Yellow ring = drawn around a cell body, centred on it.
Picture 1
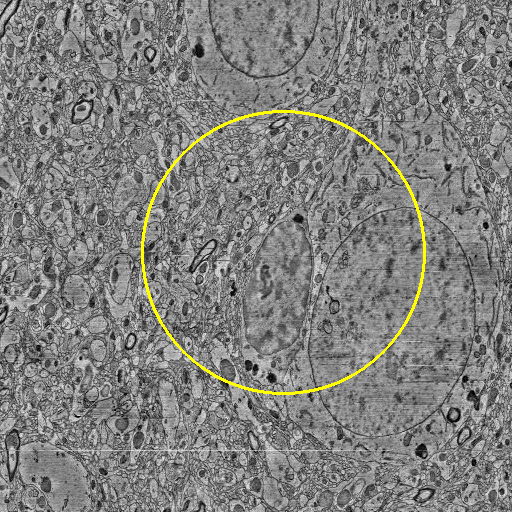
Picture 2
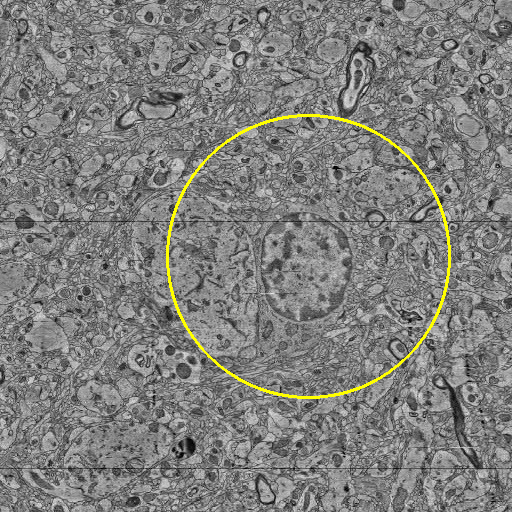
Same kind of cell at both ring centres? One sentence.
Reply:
Yes, they are the same kind of cell.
